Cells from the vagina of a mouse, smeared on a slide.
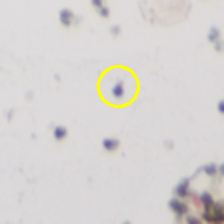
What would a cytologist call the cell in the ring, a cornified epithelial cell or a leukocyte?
A cytologist would call it a leukocyte.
